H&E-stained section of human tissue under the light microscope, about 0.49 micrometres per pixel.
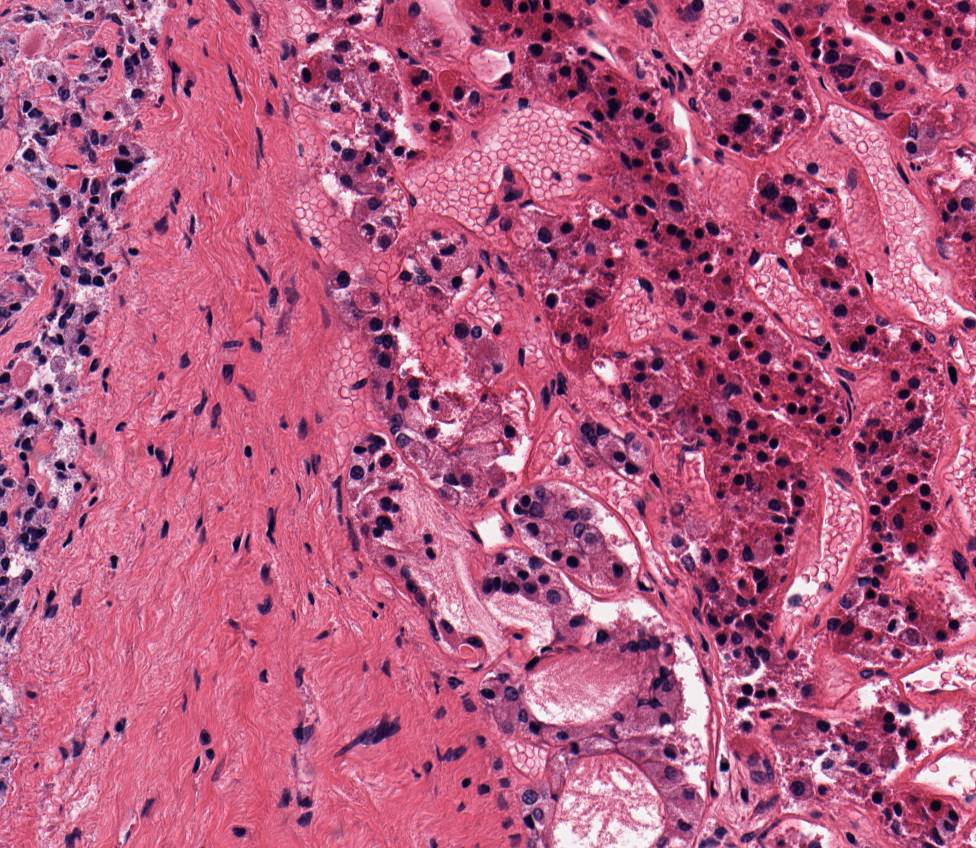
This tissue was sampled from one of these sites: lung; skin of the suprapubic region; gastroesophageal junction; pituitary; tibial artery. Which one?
pituitary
